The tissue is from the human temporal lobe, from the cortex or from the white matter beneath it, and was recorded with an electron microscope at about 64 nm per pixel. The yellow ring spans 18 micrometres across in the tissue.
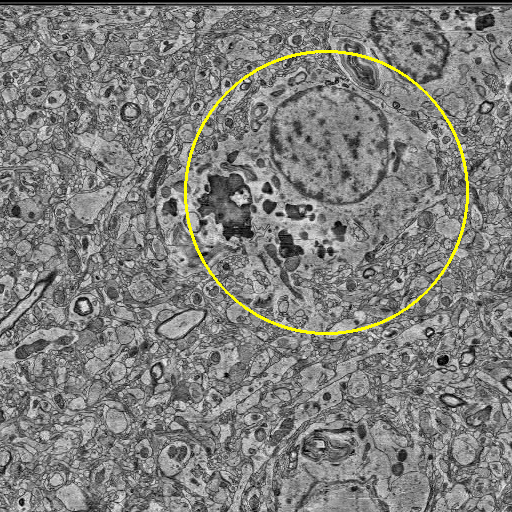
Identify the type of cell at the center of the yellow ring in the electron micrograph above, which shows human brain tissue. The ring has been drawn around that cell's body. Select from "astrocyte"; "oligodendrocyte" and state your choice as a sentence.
The yellow ring is centered on the body of an astrocyte.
